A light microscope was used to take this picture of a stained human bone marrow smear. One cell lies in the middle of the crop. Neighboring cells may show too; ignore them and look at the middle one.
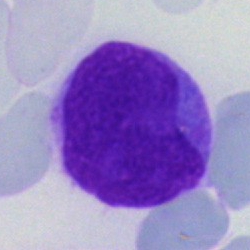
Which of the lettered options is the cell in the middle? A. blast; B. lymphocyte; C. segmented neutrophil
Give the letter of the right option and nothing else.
A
